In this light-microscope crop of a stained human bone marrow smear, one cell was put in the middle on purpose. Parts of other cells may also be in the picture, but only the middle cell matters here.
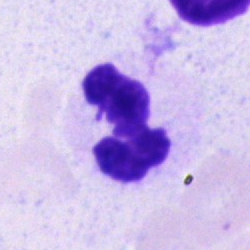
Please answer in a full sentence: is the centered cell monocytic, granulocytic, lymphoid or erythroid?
The cell that sits at the center is attributed to the granulocytic lineage.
